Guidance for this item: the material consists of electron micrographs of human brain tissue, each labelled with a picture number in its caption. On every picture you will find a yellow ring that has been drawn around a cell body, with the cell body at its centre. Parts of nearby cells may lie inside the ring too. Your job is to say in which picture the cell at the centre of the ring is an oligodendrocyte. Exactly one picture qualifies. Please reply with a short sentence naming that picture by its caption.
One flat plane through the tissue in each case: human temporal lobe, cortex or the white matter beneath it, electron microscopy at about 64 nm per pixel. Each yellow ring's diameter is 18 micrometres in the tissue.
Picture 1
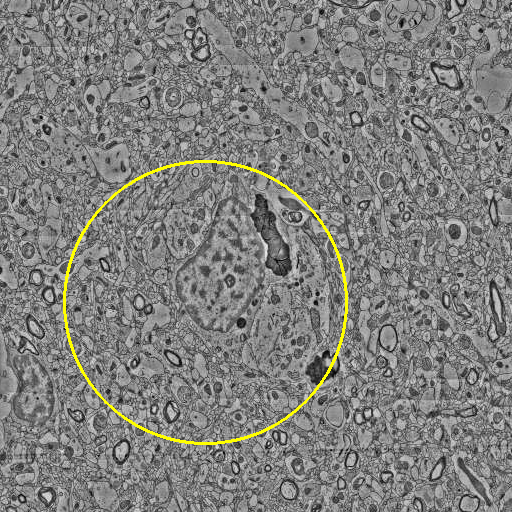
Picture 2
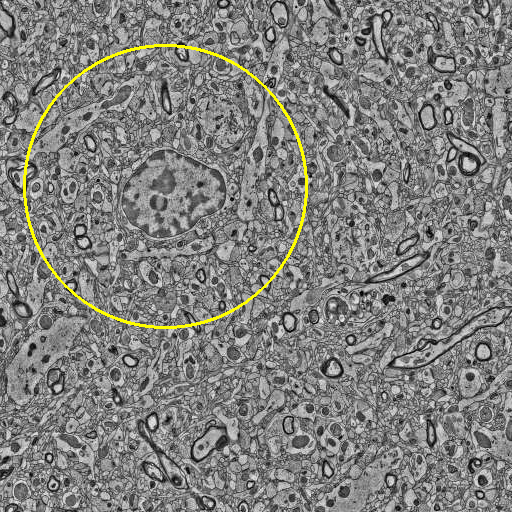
Picture 1 shows it at the centre of the ring.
